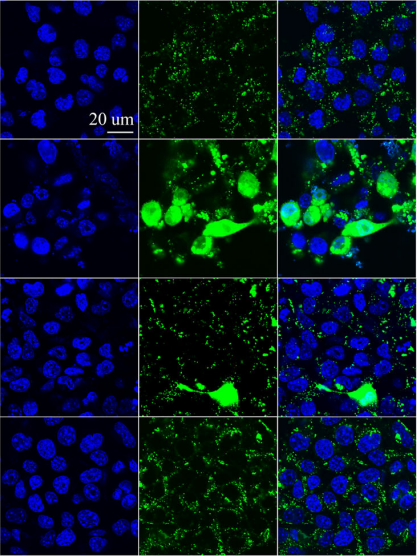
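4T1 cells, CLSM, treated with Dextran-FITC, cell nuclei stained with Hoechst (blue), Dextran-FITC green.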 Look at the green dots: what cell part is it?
Endo/lysosomes.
